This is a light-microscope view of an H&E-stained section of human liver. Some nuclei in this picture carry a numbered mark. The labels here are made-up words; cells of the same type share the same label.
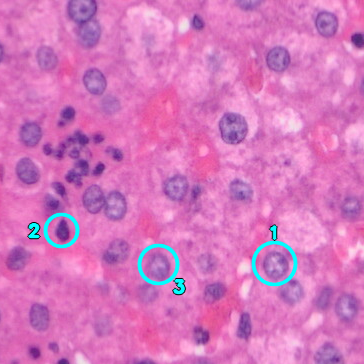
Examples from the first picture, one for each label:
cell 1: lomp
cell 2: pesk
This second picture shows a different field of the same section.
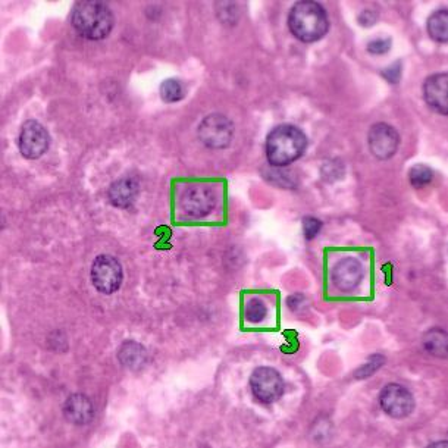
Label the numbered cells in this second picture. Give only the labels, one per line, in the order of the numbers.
lomp
lomp
pesk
